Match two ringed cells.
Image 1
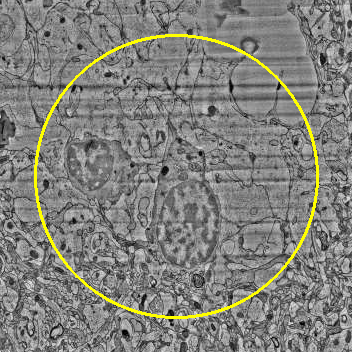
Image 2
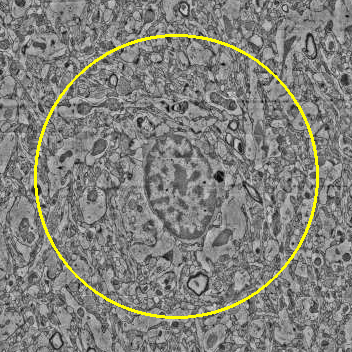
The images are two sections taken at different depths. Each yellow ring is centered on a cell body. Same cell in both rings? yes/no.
no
